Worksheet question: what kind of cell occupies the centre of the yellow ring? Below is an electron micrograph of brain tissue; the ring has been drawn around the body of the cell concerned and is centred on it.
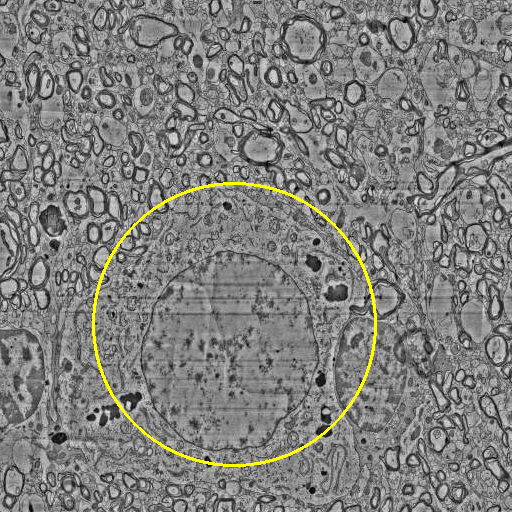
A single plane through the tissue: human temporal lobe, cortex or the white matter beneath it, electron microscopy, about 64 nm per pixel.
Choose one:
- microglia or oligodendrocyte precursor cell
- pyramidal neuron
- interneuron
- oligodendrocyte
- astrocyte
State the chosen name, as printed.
pyramidal neuron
